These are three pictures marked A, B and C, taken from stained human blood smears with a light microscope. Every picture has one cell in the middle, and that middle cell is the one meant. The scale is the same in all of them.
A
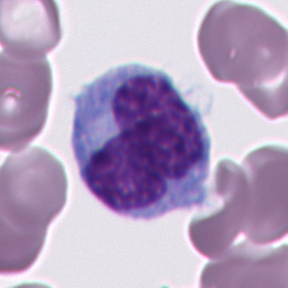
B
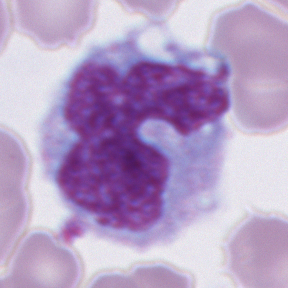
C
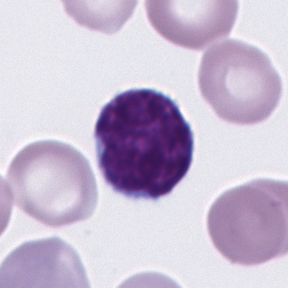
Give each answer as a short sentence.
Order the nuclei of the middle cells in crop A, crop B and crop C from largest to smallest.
Largest first: B, A, C.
